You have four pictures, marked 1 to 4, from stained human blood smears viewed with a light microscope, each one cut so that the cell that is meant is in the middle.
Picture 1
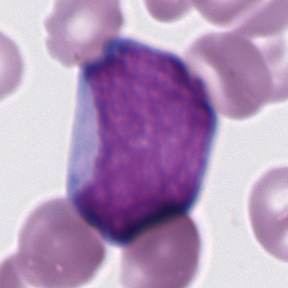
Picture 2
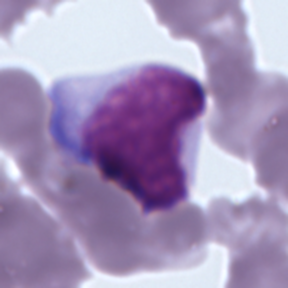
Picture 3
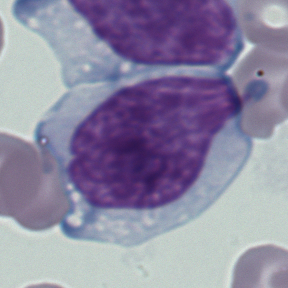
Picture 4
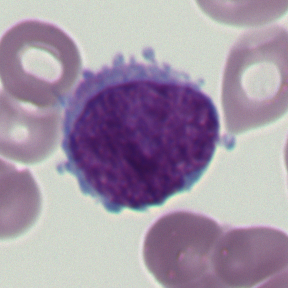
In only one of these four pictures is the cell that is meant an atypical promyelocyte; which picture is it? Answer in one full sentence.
The cell in picture 4 is the atypical promyelocyte.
